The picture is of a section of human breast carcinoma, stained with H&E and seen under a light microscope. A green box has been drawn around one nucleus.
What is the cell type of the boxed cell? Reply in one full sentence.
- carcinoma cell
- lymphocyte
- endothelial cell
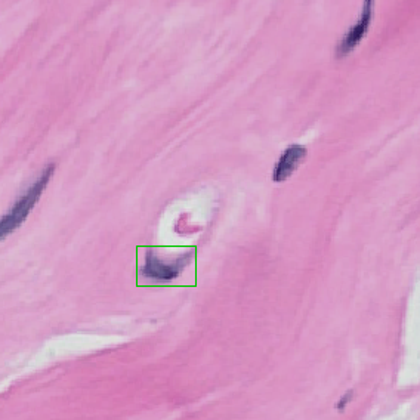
In this tissue sample, the boxed cell is an endothelial cell.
